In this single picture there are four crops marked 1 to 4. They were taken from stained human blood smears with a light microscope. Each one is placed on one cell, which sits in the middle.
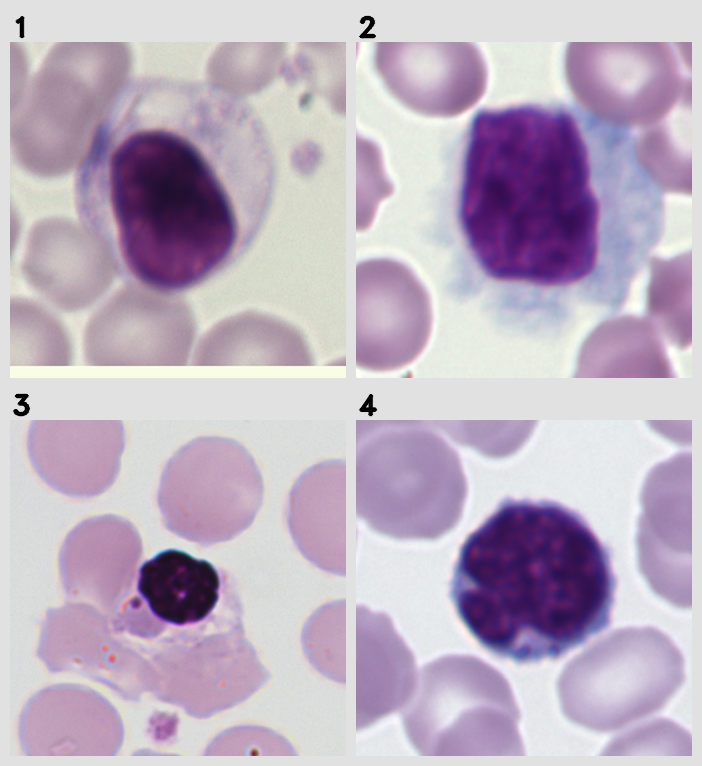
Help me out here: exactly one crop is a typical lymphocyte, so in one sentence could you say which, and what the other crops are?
Crop 4 is to be called a typical lymphocyte, while crop 1 is a large granular lymphocyte, crop 2 is a hairy cell and crop 3 is an erythroblast.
